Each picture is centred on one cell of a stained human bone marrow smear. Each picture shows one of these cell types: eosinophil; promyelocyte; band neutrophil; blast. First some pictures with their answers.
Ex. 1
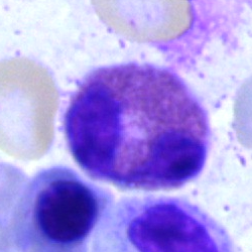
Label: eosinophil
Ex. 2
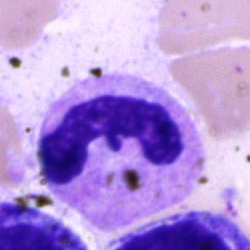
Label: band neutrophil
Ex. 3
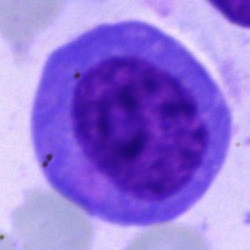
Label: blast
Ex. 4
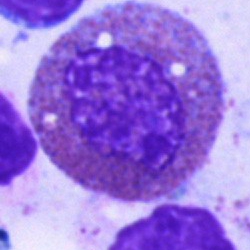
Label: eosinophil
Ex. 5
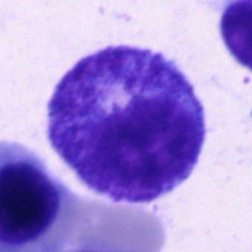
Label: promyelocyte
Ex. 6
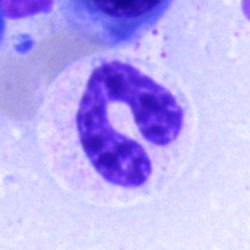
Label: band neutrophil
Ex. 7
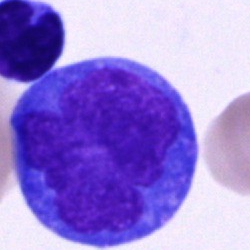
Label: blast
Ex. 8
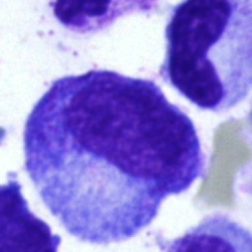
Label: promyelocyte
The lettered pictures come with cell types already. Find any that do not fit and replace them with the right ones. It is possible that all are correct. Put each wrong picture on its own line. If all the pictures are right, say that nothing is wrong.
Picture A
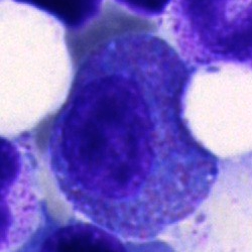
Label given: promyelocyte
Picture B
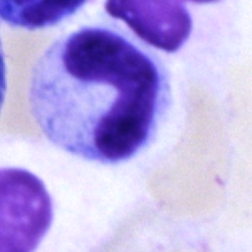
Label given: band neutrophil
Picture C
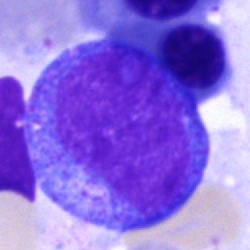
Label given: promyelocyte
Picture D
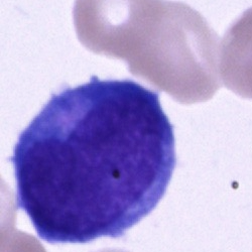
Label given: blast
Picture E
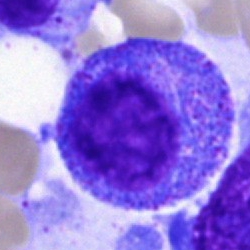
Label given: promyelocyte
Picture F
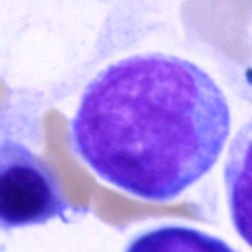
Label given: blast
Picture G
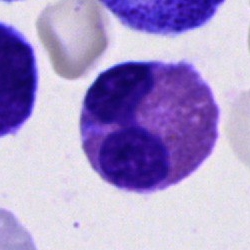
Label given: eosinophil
Nothing to fix; every label fits.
